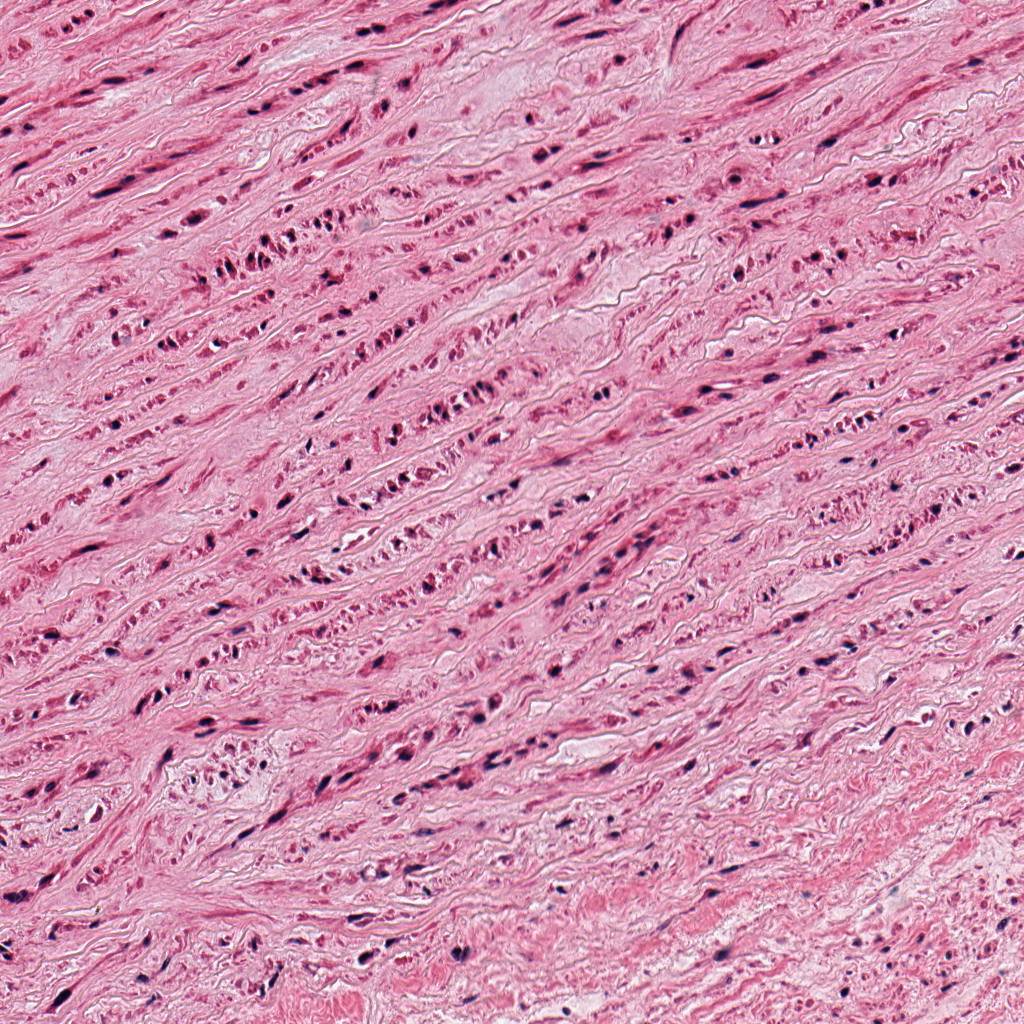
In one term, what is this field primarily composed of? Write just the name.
tunica media of an artery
